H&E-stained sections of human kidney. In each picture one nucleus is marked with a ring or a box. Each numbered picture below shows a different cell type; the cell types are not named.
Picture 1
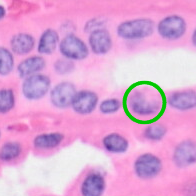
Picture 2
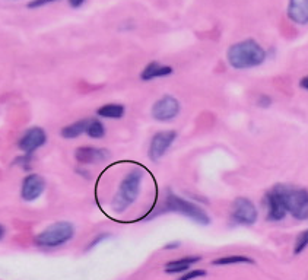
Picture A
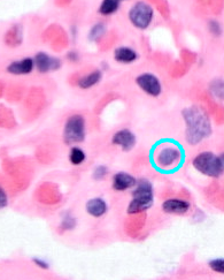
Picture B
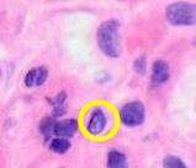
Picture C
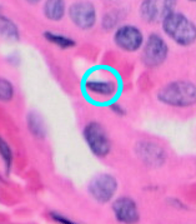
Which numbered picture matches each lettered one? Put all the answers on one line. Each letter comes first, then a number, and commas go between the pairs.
A 2, B 2, C 2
